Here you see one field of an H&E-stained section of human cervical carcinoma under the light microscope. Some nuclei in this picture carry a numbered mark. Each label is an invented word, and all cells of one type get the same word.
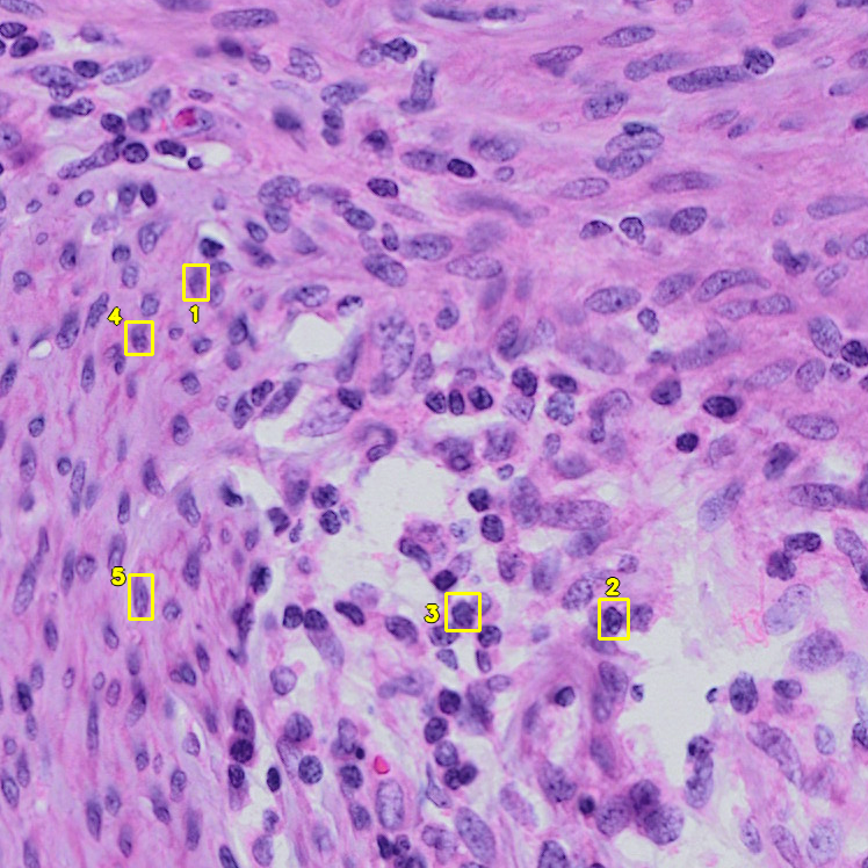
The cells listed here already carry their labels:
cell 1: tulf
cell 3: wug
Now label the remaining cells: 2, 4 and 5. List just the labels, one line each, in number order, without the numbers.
wug
tulf
tulf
